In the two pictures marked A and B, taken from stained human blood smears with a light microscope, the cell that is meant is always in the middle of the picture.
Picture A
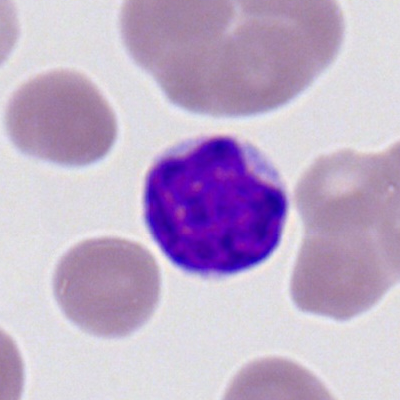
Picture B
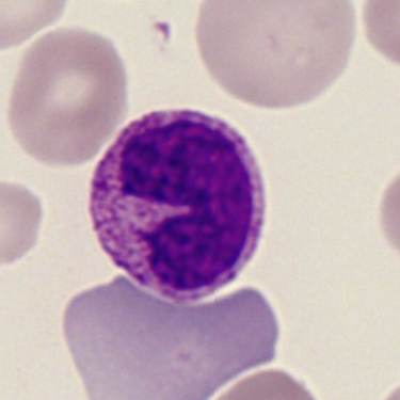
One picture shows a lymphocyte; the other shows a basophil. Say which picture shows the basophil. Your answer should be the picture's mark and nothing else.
B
